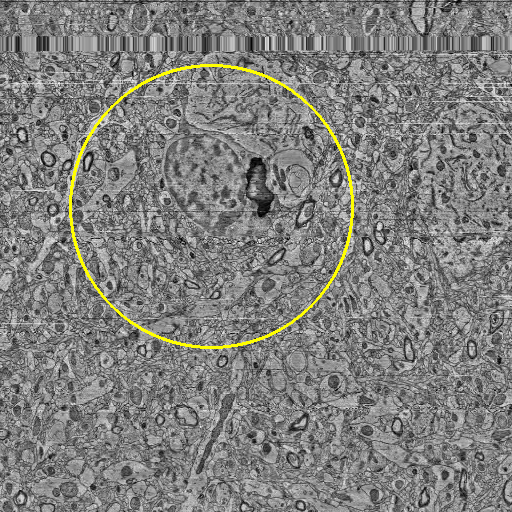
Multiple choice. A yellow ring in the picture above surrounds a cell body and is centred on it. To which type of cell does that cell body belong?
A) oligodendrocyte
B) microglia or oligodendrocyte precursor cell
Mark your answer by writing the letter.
A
